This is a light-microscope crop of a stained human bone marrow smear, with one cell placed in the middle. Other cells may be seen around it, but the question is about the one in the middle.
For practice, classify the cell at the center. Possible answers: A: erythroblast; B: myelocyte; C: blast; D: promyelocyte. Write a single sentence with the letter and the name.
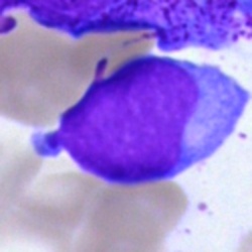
Since the cell in the middle is a blast, option C is correct.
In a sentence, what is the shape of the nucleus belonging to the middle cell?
The nuclear material is gathered into one compact round, oval or kidney-shaped mass.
